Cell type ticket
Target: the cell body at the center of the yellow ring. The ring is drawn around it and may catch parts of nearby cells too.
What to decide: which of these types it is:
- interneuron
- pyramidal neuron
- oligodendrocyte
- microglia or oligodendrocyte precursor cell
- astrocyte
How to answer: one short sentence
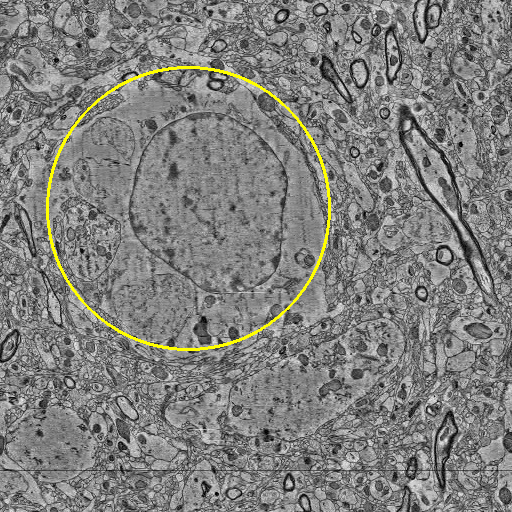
The cell at the center of the ring is an astrocyte.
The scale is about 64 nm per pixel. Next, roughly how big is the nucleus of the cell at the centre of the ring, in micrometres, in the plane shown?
Roughly 12 by 10 micrometres in this plane, for the nucleus of the ringed cell.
